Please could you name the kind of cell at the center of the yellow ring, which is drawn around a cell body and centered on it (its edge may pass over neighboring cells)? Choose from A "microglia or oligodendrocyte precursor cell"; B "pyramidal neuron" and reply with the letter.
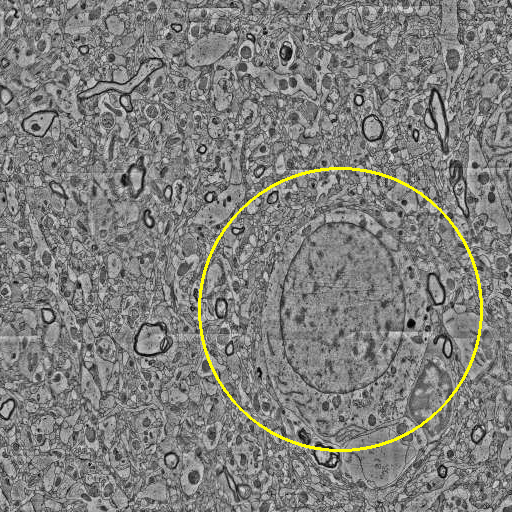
B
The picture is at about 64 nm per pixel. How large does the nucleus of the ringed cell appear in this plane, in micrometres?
About 11 by 8 micrometres in this plane.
